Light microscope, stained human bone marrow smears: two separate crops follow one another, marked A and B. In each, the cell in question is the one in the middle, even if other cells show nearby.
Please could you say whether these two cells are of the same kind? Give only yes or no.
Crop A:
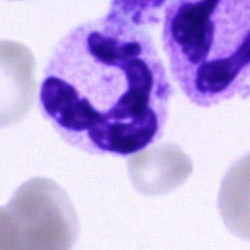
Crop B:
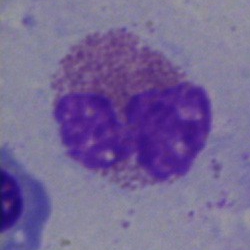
no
